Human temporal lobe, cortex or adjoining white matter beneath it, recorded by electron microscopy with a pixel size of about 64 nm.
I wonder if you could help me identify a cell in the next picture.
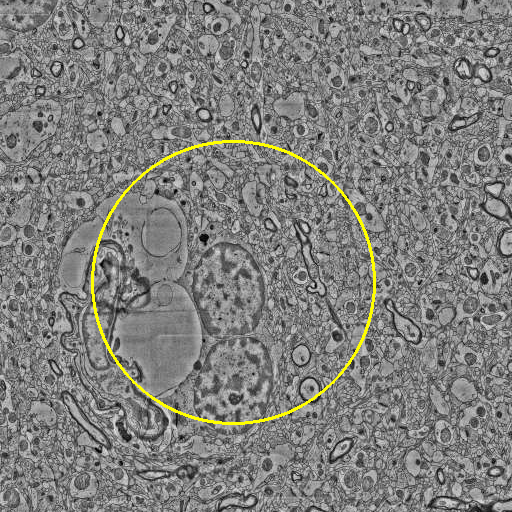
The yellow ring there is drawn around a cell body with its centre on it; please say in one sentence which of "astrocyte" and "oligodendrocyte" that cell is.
The yellow ring is centred on an oligodendrocyte.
